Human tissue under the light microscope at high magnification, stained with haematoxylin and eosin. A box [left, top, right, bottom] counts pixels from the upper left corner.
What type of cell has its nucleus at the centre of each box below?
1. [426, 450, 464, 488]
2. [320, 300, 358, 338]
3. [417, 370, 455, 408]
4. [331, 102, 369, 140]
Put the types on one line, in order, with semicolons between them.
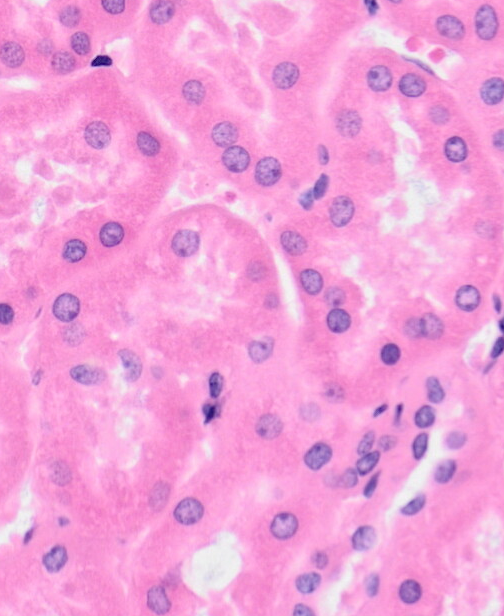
collecting duct cell; proximal tubule cell; collecting duct cell; proximal tubule cell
